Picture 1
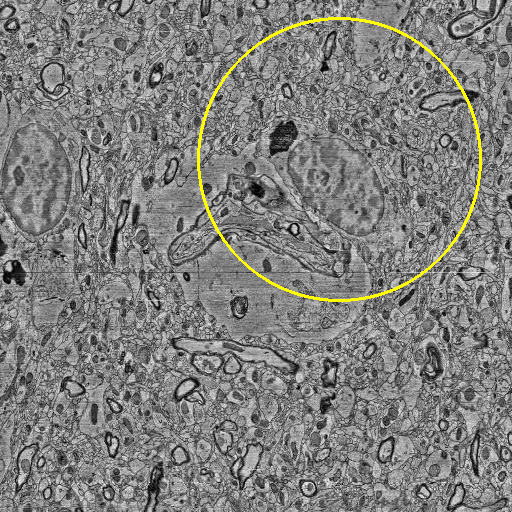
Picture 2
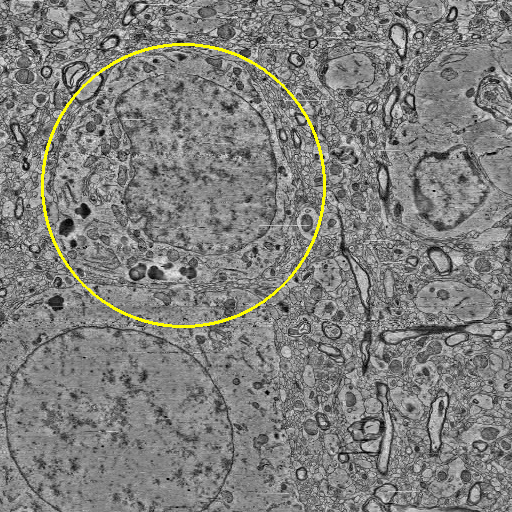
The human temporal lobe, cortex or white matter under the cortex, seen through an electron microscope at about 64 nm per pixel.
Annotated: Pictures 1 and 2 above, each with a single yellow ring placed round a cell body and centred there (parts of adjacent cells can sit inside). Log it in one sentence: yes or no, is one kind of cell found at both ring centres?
No, the ring centres of the two pictures hold cells of two kinds.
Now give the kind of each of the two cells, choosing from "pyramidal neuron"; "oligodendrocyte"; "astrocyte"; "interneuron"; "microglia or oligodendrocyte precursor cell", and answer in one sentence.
The cell in the first picture is an oligodendrocyte, and the cell in the second is an interneuron.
